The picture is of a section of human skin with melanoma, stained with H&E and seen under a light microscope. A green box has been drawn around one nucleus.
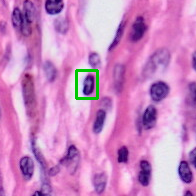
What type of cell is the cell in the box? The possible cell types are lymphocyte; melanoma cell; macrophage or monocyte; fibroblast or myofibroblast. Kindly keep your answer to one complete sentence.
To be brief about it, the cell in the box is a lymphocyte.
